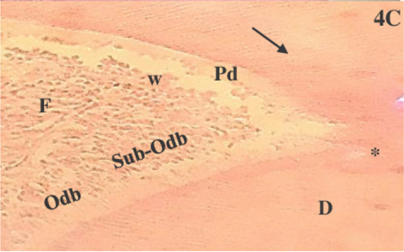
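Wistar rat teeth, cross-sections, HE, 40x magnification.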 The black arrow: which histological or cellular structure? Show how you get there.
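Faint fine parallel striations run through that tissue.
Hence: dentin tubules.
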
